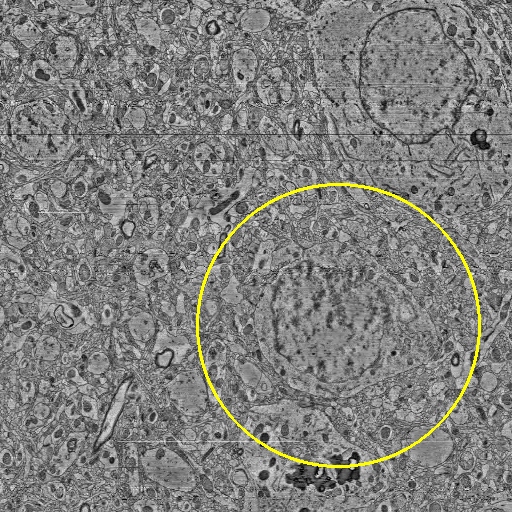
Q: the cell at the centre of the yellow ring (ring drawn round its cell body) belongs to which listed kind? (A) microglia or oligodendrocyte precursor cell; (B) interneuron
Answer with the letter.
B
